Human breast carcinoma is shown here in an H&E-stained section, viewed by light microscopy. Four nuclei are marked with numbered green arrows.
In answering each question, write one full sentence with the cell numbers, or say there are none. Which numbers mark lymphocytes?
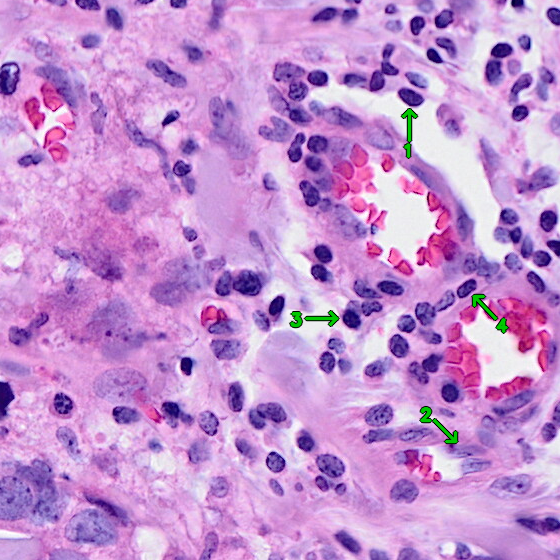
The cells numbered 1, 3 and 4 fall into the category of lymphocytes.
